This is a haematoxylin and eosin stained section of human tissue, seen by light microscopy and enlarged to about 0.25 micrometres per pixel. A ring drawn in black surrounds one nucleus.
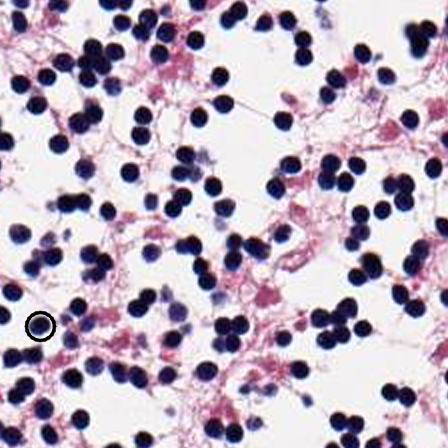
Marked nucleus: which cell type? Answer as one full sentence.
The marked nucleus is contained in a cerebellar granule cell.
